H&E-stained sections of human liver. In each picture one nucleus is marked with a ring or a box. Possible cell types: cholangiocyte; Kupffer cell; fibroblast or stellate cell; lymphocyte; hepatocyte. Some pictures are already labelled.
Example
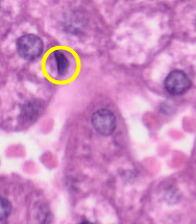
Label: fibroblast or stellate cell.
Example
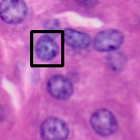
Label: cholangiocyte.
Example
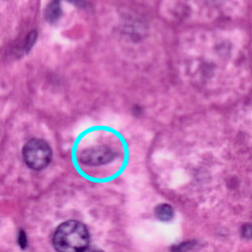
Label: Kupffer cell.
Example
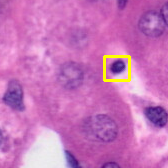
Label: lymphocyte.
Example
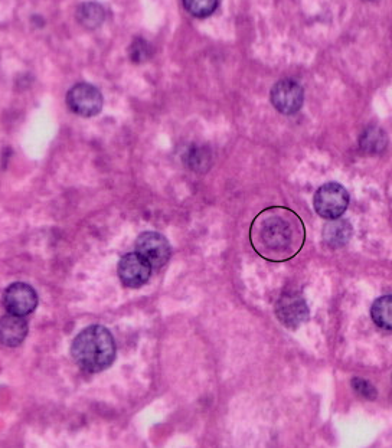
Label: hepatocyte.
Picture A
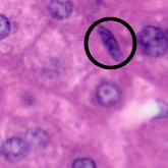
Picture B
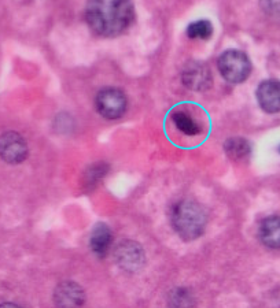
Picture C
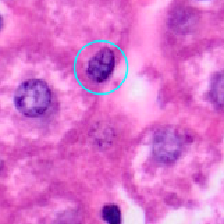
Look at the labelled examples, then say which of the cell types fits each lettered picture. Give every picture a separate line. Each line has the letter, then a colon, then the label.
A: fibroblast or stellate cell.
B: fibroblast or stellate cell.
C: fibroblast or stellate cell.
